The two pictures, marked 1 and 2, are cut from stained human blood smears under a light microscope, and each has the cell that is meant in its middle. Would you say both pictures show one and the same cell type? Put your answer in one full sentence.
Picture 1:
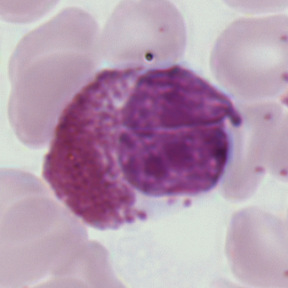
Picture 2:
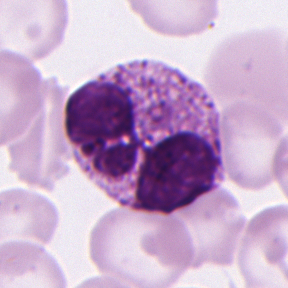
No; the cell in picture 1 is an eosinophil, while the one in picture 2 is a basophil.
